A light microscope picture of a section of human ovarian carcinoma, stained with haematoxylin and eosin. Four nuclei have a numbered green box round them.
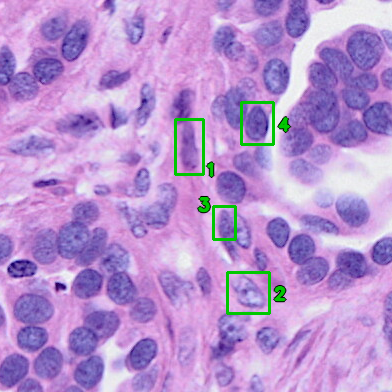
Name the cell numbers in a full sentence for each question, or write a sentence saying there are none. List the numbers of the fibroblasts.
Identified as fibroblasts are the cells numbered 1, 2 and 3.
